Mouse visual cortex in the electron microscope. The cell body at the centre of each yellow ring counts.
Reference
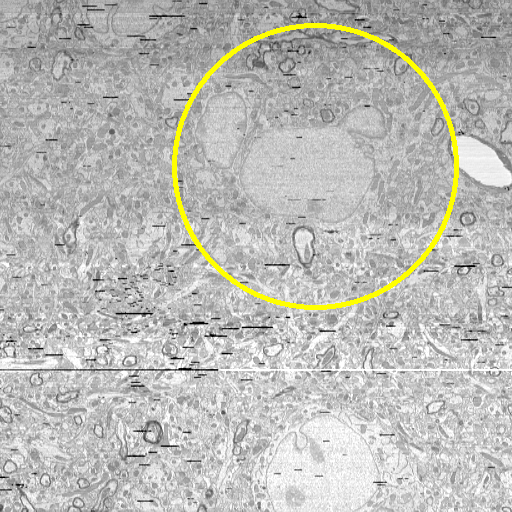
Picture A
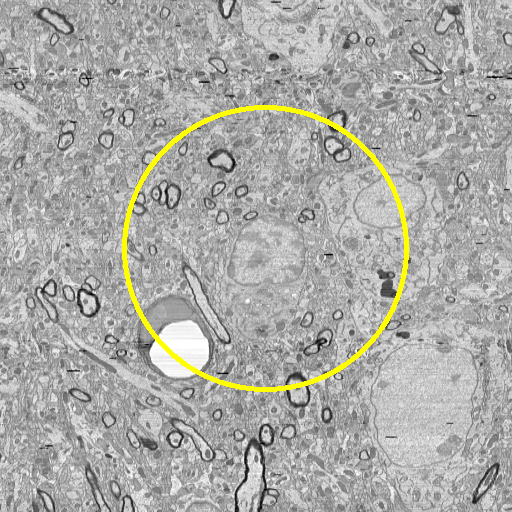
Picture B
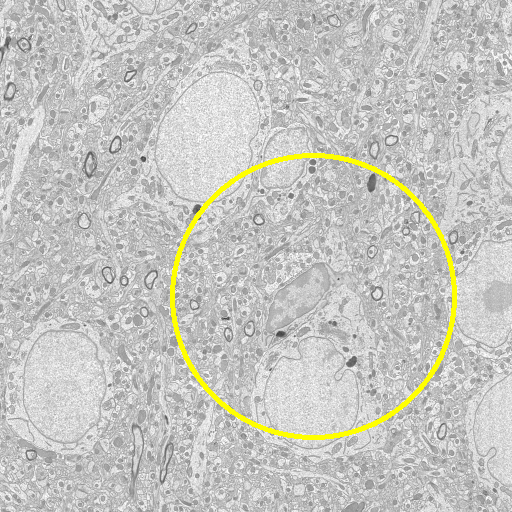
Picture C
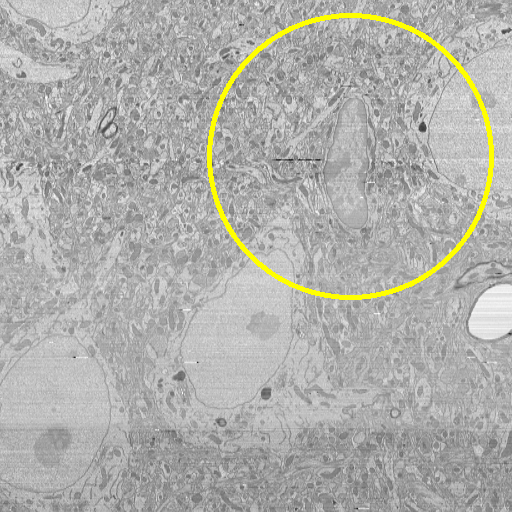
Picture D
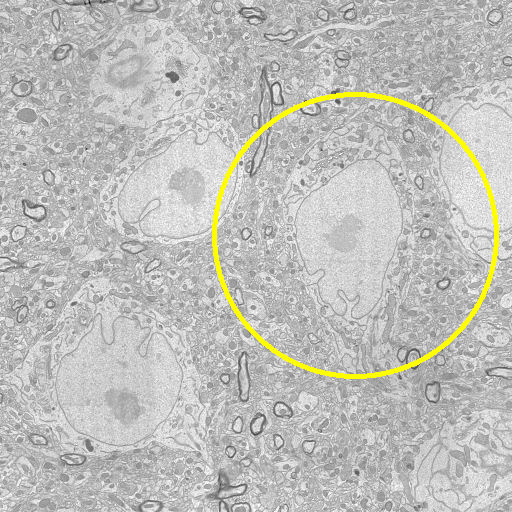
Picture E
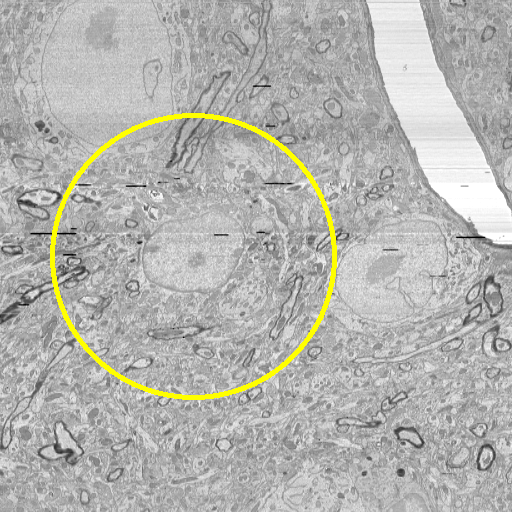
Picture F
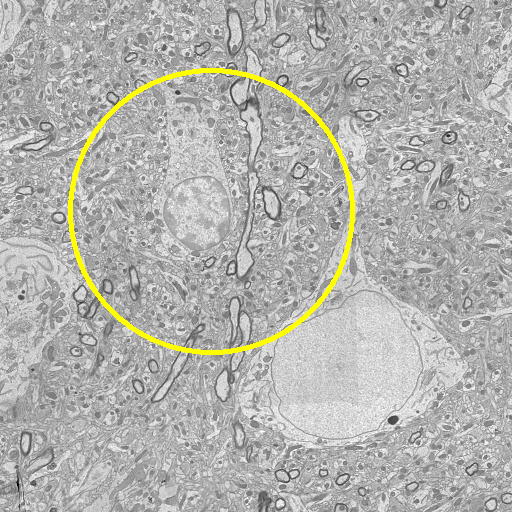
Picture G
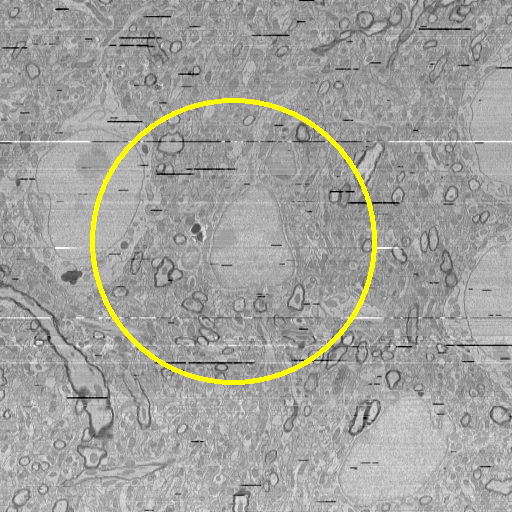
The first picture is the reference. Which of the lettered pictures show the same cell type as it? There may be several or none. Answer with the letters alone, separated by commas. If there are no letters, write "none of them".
E, G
